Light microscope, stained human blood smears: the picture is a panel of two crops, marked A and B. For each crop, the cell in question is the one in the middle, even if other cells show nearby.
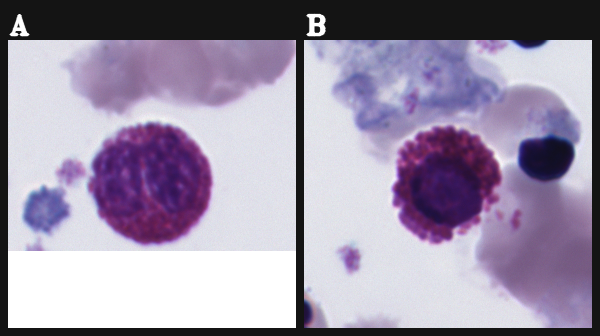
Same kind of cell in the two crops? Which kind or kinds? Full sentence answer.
Yes, eosinophils are seen in both crops.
